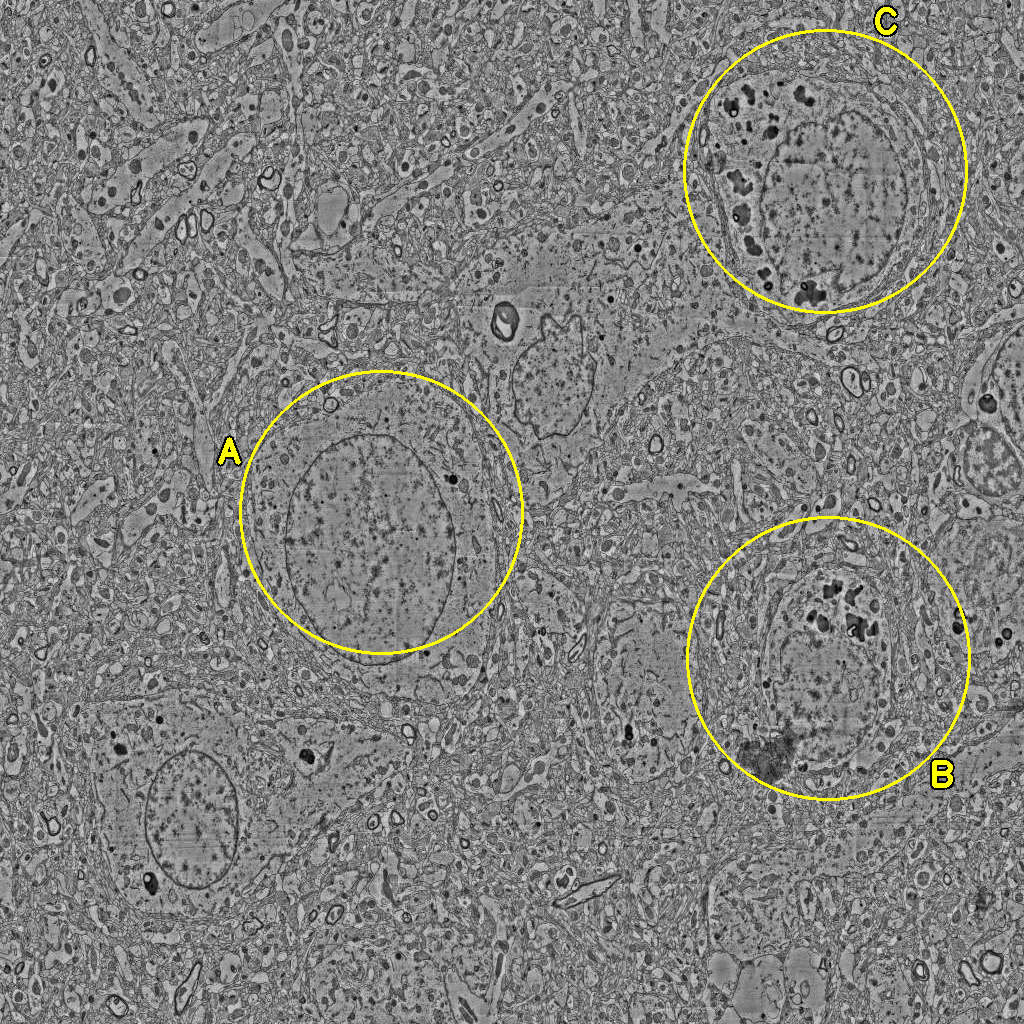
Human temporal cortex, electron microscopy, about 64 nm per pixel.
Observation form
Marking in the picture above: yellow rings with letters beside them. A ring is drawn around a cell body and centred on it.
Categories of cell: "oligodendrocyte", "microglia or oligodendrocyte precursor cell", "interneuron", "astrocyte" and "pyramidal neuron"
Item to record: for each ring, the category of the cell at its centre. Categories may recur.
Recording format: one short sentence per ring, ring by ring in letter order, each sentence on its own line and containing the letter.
Ring A is placed on a pyramidal neuron.
Ring B is placed on an interneuron.
Ring C is placed on an interneuron.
